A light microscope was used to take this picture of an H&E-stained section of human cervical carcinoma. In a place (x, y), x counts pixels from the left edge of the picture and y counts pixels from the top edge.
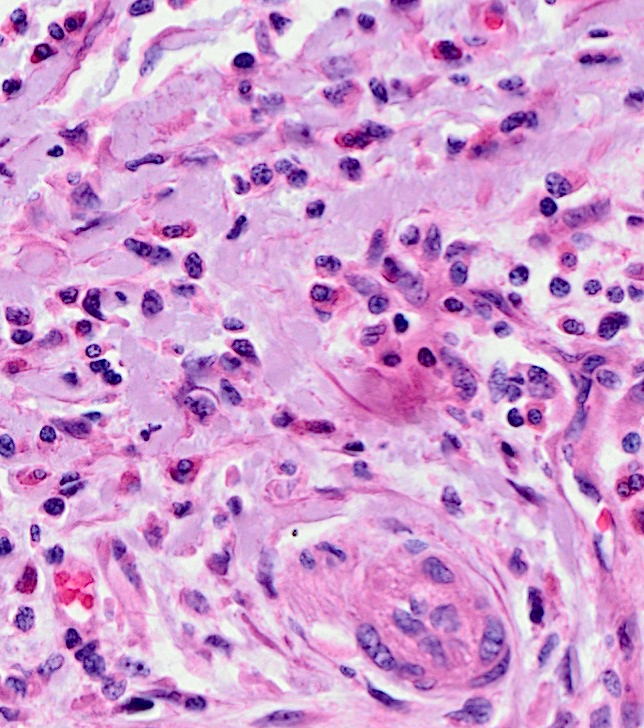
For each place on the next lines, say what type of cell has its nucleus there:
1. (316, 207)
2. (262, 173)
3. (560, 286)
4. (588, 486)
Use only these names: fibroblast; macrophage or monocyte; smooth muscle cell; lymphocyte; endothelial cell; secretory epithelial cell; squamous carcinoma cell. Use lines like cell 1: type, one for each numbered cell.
cell 1: lymphocyte
cell 2: lymphocyte
cell 3: lymphocyte
cell 4: endothelial cell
